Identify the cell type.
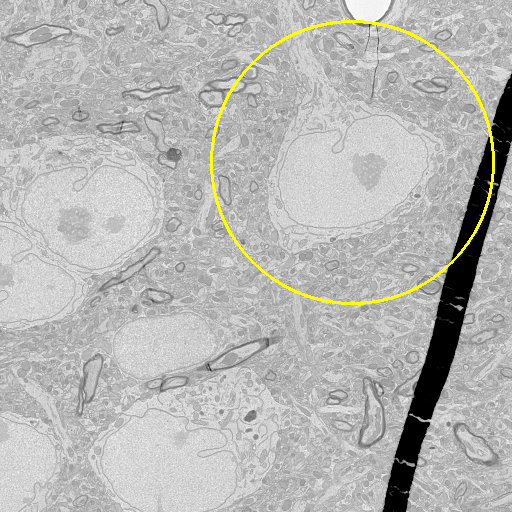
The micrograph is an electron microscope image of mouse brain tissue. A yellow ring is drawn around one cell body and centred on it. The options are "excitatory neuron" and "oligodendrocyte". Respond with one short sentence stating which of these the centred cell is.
The cell body in the ring belongs to an excitatory neuron.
